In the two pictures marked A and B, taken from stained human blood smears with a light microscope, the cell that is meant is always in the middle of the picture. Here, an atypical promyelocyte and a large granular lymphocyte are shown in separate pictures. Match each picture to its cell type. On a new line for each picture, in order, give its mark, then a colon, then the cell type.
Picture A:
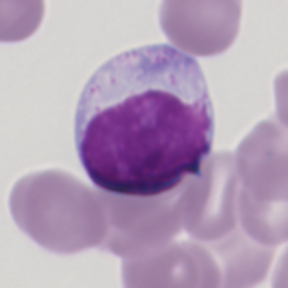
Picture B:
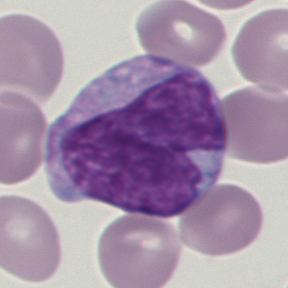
A: large granular lymphocyte
B: atypical promyelocyte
